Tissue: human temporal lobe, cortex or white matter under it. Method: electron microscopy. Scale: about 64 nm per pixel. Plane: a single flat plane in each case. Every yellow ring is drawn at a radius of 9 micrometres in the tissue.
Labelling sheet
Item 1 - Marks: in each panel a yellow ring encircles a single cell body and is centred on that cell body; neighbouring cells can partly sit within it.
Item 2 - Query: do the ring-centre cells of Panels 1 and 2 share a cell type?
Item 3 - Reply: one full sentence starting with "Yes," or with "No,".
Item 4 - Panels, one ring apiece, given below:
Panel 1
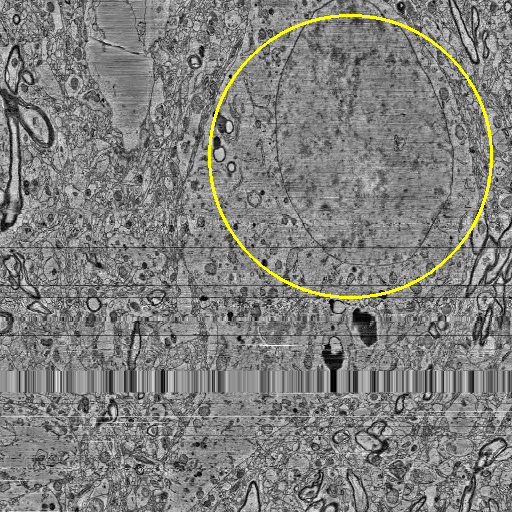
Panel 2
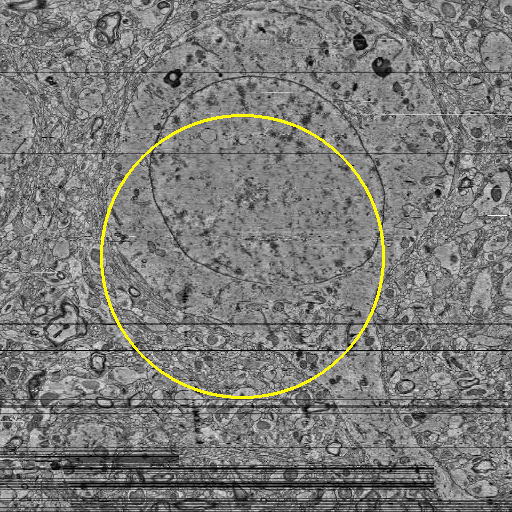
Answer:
Yes, Panel 1 and Panel 2 show one cell type at the centres of their rings.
